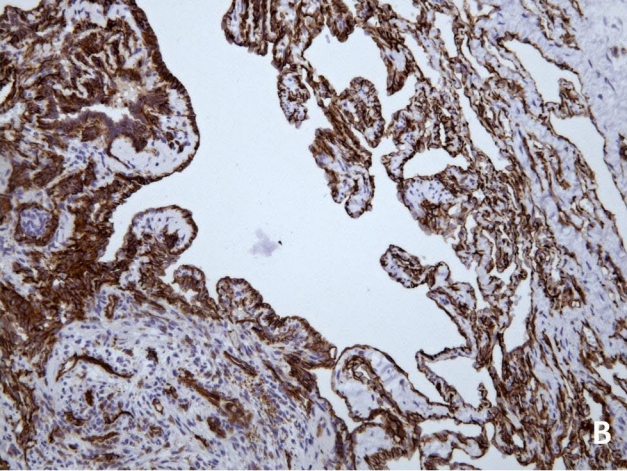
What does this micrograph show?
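A vascular tumour with a large cavernous space surrounded by slender papillary fronds and spindle-cell tissue. The brown stain diffusely outlines the tumour cells lining the fronds and channels, while the intervening pale stroma remains unstained blue.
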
